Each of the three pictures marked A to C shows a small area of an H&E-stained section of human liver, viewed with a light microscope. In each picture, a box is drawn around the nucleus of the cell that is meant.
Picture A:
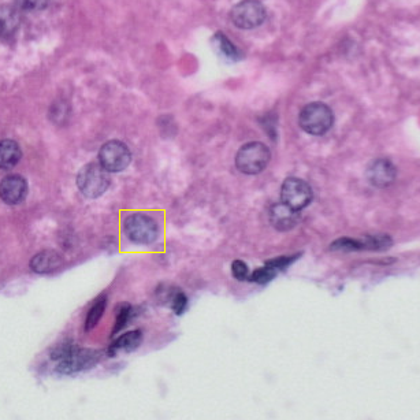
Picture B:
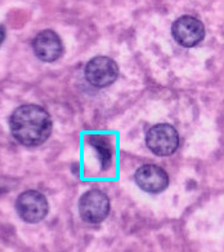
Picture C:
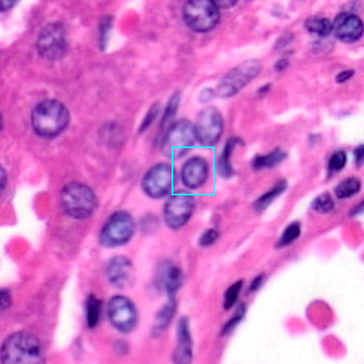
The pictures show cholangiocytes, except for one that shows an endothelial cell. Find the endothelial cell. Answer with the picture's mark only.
B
